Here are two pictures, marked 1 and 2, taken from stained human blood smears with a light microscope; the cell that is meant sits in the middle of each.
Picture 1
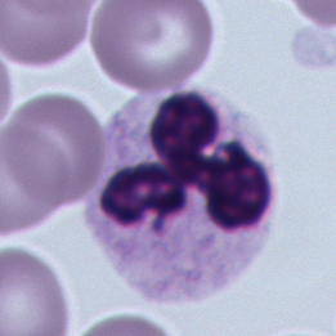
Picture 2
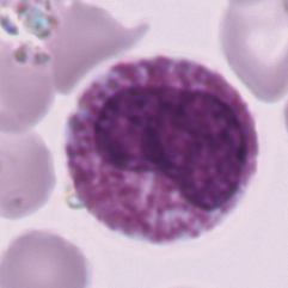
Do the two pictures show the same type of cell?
no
